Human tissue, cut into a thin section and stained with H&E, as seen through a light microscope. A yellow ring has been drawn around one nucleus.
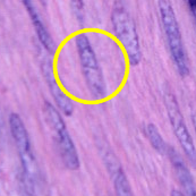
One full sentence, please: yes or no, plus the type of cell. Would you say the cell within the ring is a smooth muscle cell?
Yes, regarding cell type, the cell within the ring is a smooth muscle cell.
